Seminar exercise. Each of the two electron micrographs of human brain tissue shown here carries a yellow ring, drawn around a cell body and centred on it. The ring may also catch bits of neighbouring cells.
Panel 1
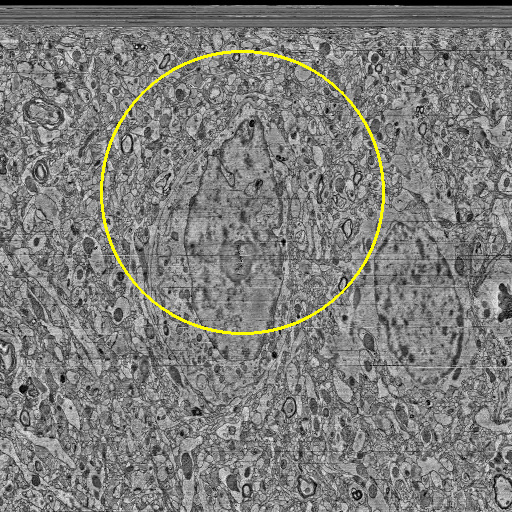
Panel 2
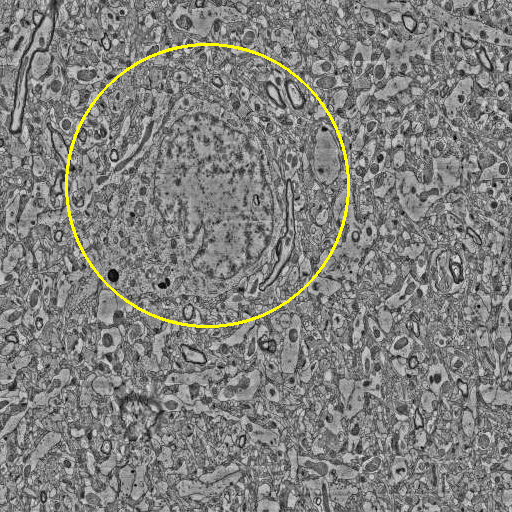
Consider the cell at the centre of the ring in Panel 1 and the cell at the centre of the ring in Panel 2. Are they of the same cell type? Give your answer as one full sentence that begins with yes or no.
Yes, both cells are of the same type.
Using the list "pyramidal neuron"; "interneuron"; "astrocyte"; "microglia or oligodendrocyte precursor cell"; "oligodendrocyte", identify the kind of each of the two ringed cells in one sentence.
In each picture the ringed cell is an interneuron.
